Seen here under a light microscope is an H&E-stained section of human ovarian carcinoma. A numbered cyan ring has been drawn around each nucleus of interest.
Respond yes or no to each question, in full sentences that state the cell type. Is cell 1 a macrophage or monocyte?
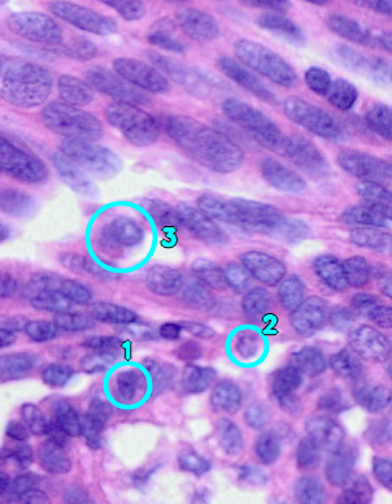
No, a macrophage or monocyte is not what cell 1 is; it is a carcinoma cell.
